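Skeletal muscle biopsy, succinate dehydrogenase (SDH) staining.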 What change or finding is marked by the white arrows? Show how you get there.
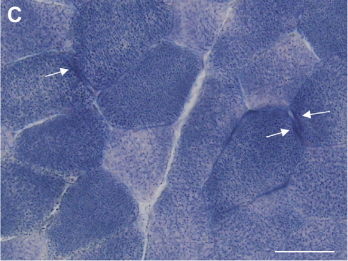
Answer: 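The arrows point to dark purple-blue accumulations at the rim of fibers. The deposits lie just under the fiber surface, denser than the fiber interior. That points to this answer: subsarcolemmal positive deposits.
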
